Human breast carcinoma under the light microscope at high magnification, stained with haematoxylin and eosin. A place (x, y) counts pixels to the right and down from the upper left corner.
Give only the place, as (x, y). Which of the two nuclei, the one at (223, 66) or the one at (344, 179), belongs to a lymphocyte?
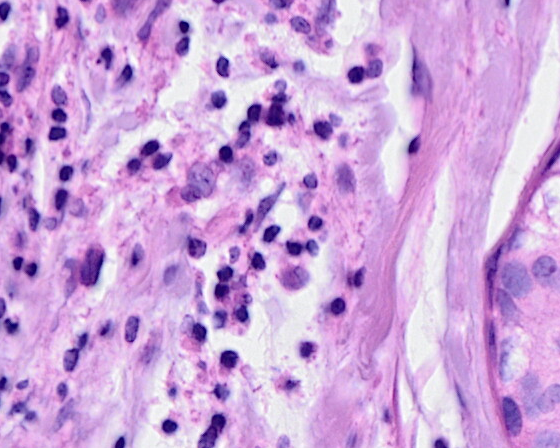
(223, 66)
